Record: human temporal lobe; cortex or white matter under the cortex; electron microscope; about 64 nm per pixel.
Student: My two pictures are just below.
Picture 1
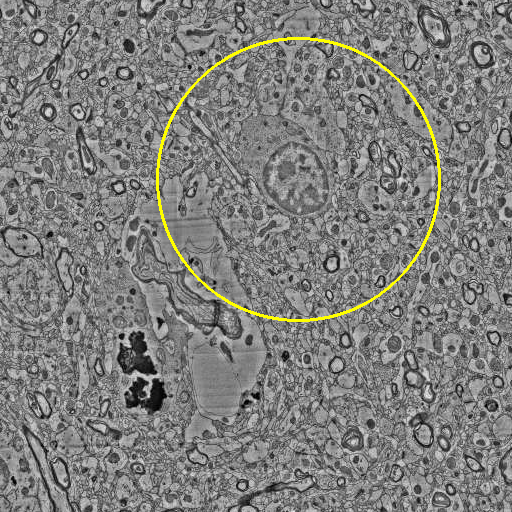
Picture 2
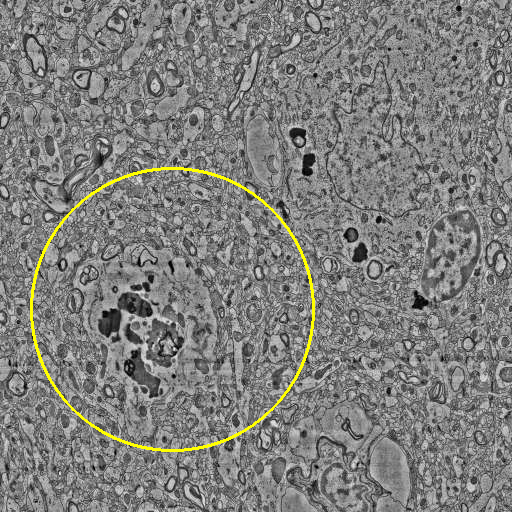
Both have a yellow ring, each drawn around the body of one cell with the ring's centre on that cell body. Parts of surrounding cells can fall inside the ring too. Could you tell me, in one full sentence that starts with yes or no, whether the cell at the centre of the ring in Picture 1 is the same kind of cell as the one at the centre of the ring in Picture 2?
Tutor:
No, the two cells are of two kinds.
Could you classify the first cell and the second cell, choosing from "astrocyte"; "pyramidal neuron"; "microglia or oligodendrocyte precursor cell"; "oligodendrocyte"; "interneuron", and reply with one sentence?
The second cell is an astrocyte, while the first is an oligodendrocyte.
